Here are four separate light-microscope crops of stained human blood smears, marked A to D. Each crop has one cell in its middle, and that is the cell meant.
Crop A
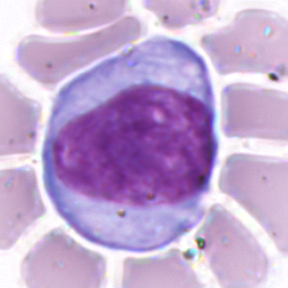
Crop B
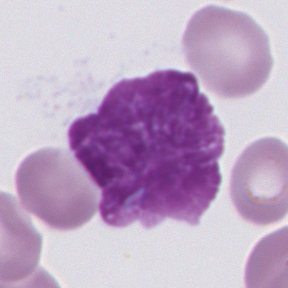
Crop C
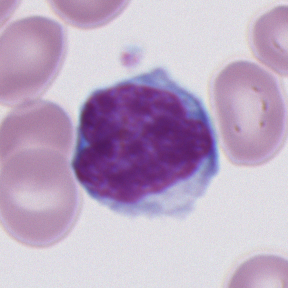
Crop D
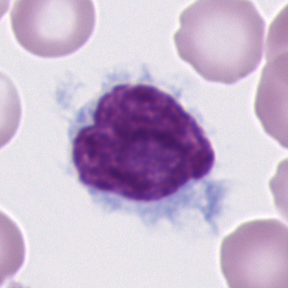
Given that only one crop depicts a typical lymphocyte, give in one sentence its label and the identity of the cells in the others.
Going crop by crop, crop C is a typical lymphocyte, while crop A is a plasma cell, crop B is a smudge cell and crop D is a hairy cell.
